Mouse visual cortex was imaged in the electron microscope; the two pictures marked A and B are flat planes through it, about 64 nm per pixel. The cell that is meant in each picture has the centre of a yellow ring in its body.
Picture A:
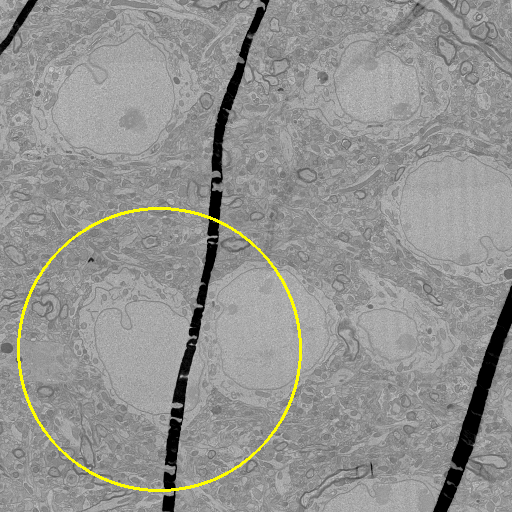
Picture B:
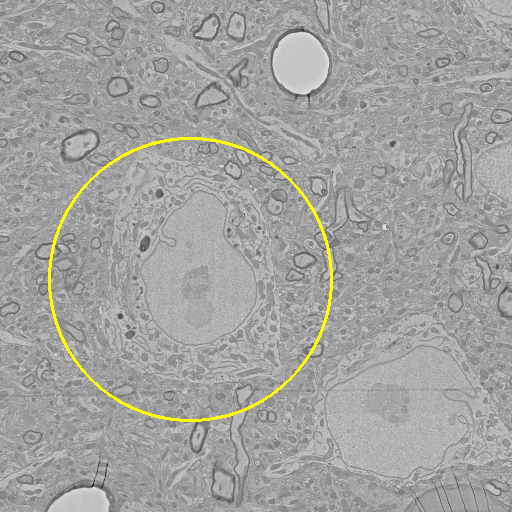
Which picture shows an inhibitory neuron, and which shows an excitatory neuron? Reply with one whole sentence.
Picture A is of an excitatory neuron, and picture B is of an inhibitory neuron.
